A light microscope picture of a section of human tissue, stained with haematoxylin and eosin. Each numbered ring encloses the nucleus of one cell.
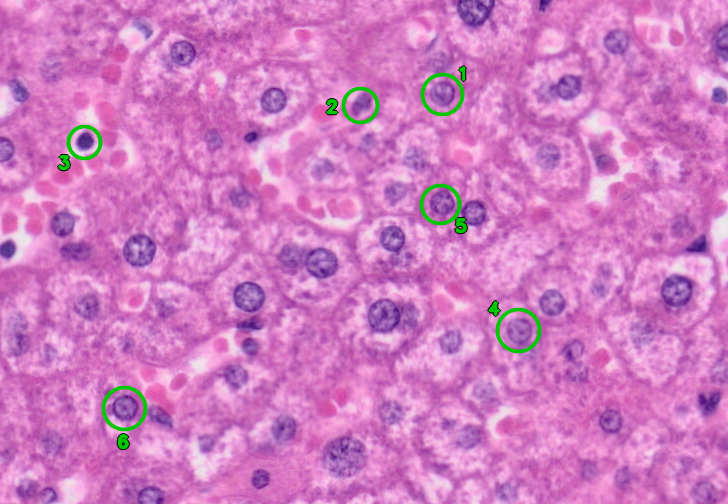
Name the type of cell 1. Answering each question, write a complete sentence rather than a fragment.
Here the cell numbered 1 is a hepatocyte.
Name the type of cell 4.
The cell marked with number 4 is a hepatocyte.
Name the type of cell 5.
The cell with the number 5 is a hepatocyte.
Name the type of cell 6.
Nucleus 6 in this section belongs to a hepatocyte.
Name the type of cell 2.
The nucleus with number 2 is that of a Kupffer cell.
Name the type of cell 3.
The identity of cell 3 is that of a lymphocyte.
